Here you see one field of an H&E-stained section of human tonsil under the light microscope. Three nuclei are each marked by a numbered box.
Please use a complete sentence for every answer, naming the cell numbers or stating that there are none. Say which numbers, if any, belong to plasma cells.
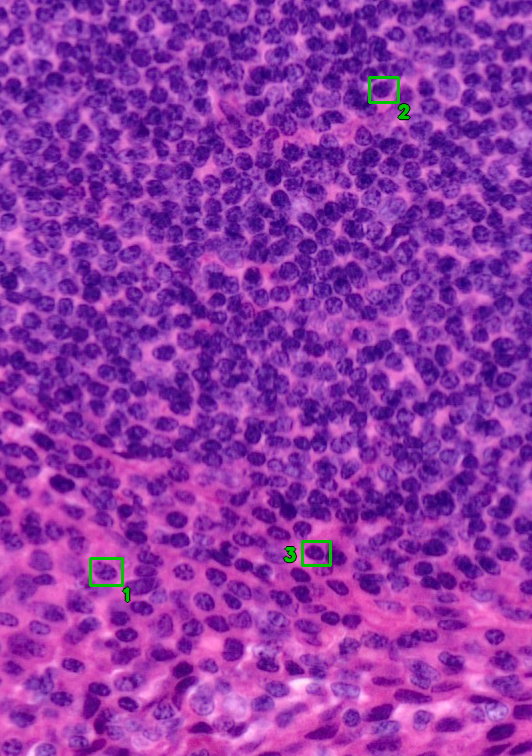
The cells that have numbers 1 and 3 are plasma cells.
